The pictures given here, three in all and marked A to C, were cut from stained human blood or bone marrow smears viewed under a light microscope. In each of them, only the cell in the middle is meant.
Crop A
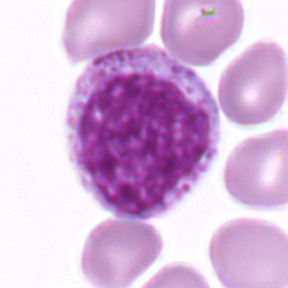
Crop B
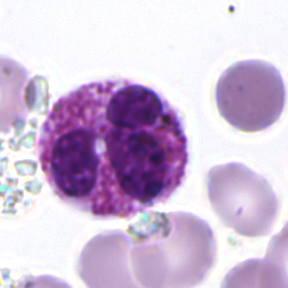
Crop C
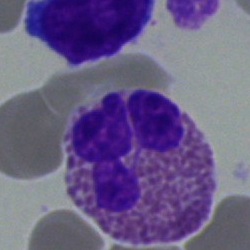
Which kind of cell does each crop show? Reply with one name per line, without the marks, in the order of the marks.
myelocyte
eosinophil
eosinophil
